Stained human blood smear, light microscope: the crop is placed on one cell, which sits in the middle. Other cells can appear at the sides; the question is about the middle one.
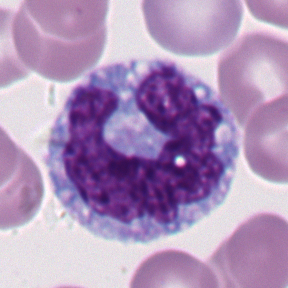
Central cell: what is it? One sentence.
The crop shows a monocyte in its centre.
